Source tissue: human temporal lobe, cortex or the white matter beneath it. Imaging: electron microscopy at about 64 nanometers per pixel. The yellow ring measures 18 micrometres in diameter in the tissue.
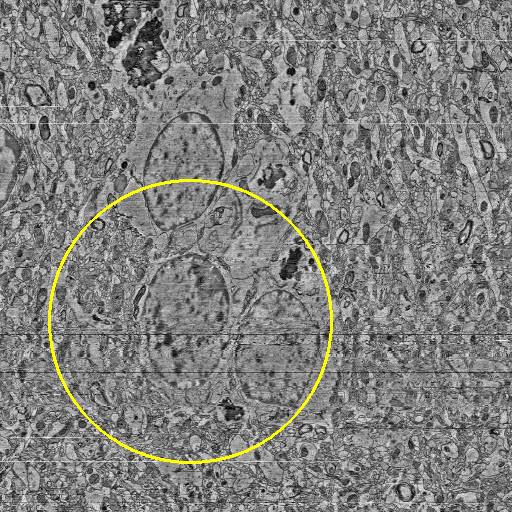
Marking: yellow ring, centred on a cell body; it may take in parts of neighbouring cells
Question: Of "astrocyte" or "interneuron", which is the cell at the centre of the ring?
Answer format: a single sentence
The ring surrounds the body of an astrocyte.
